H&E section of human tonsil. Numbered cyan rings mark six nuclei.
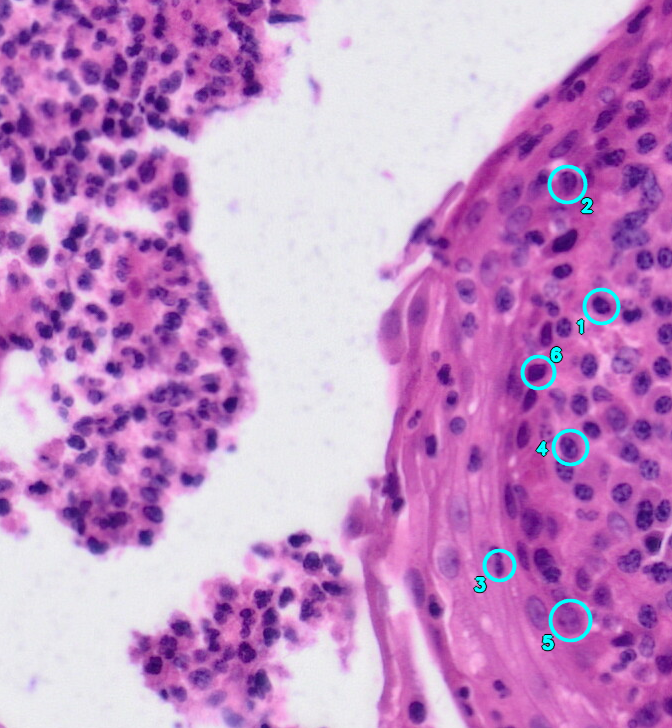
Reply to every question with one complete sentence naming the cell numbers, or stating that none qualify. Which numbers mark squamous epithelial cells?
So, the cells with numbers 2, 3, 5 and 6 are squamous epithelial cells.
